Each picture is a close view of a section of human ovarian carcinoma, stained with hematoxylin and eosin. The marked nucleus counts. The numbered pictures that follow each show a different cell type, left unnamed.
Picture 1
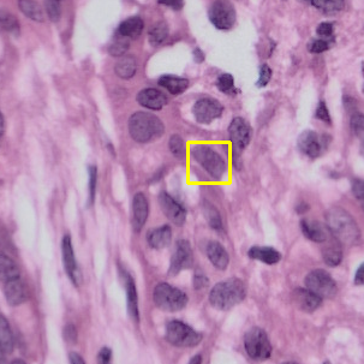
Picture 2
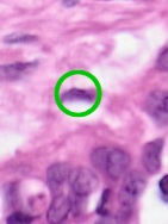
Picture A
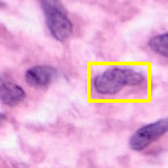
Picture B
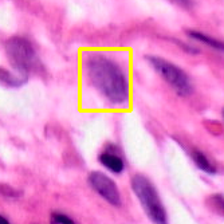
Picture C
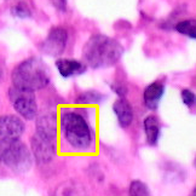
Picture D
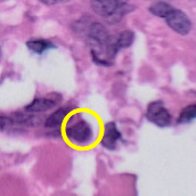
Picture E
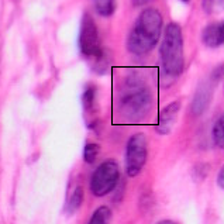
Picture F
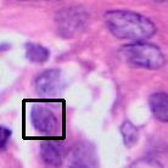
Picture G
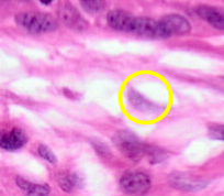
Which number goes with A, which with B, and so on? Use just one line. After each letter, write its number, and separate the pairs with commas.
A 2, B 2, C 1, D 1, E 1, F 1, G 2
